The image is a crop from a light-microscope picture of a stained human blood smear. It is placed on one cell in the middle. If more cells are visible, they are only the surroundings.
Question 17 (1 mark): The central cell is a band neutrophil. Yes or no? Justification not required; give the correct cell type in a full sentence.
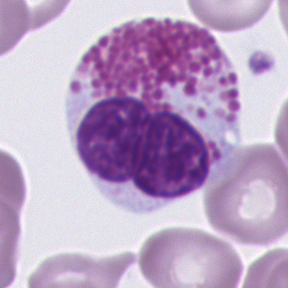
No, what sits in the centre of the crop is an eosinophil rather than a band neutrophil.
